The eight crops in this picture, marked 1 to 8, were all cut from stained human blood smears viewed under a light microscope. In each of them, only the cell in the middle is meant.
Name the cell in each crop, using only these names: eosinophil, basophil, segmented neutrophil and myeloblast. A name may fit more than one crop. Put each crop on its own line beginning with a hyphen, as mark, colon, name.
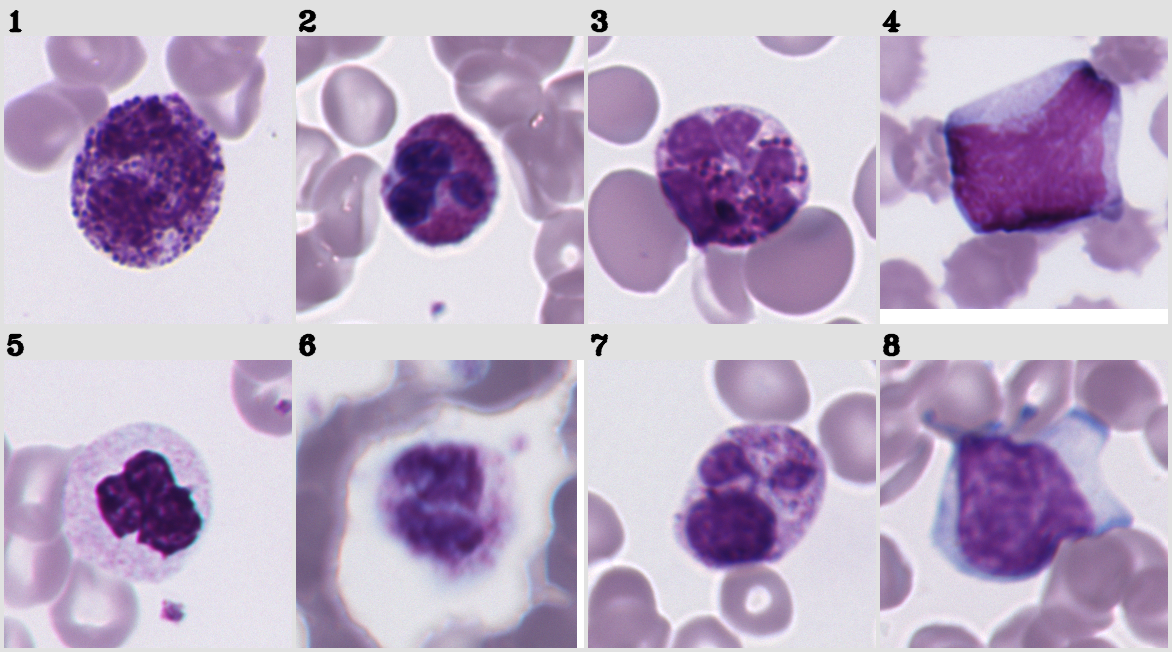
- 1: basophil
- 2: eosinophil
- 3: basophil
- 4: myeloblast
- 5: segmented neutrophil
- 6: segmented neutrophil
- 7: basophil
- 8: myeloblast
